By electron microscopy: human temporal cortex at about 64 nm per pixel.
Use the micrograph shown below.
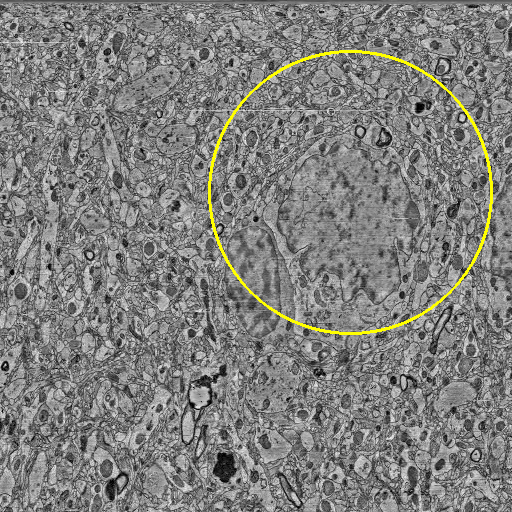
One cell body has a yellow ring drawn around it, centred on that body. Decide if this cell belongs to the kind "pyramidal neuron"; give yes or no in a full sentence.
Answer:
No, the cell lying at the ring's centre in the micrograph is of another kind.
